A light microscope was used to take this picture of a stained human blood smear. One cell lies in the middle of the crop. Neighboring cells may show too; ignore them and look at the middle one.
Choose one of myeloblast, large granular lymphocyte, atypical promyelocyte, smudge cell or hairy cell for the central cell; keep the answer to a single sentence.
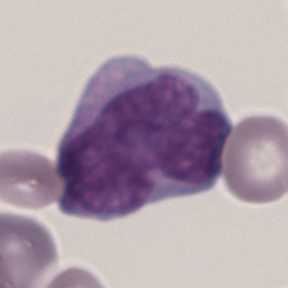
This crop is built around an atypical promyelocyte at its centre.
